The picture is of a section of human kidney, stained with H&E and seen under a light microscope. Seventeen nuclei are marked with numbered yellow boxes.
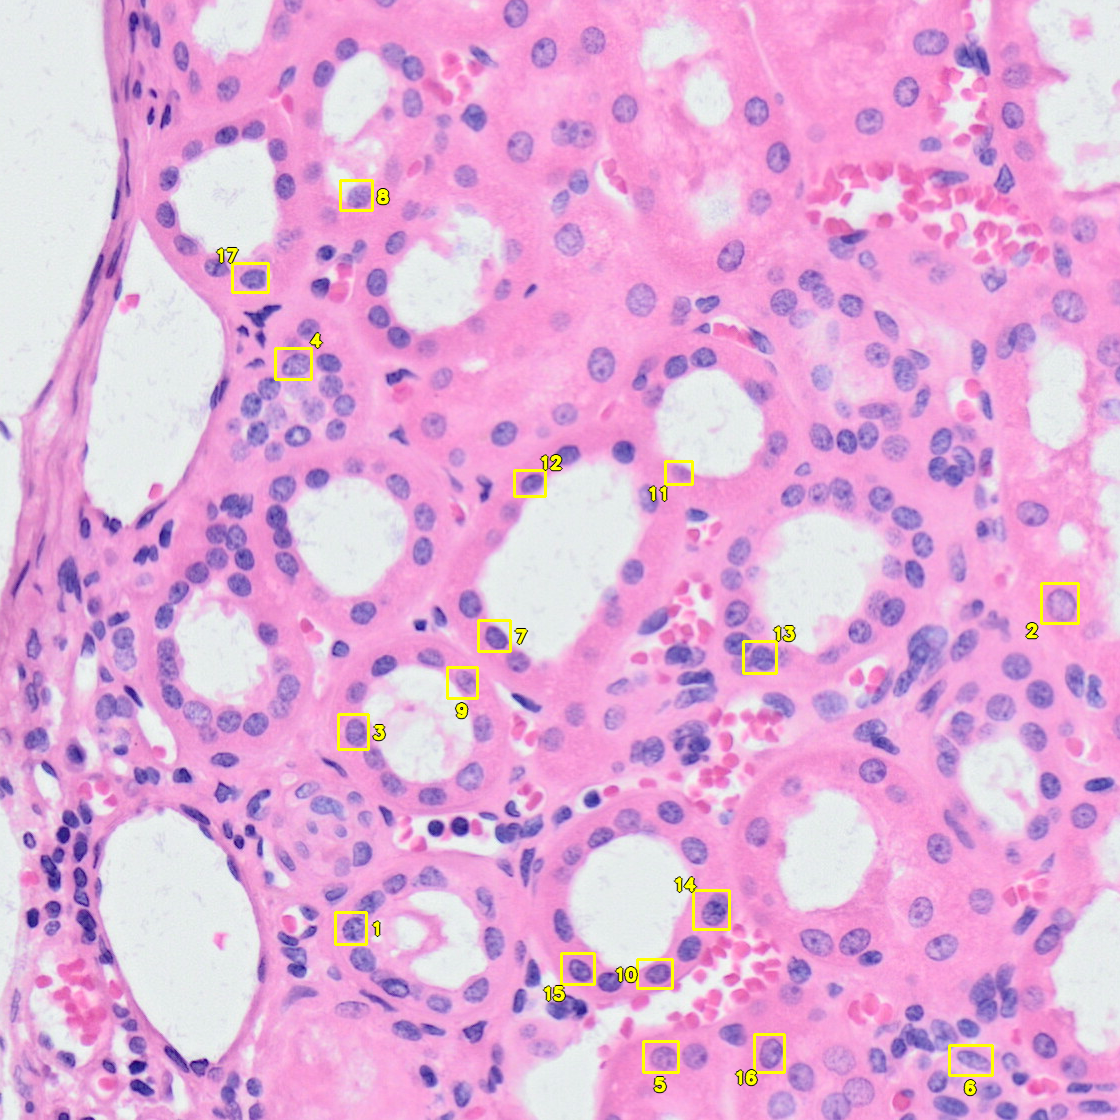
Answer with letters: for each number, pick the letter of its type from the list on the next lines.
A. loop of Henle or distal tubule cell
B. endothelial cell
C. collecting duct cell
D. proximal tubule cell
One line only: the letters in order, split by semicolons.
C; D; A; C; D; C; A; A; A; C; A; A; C; C; C; D; A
